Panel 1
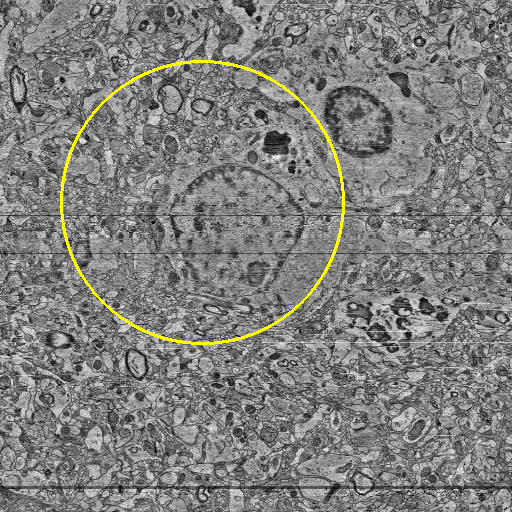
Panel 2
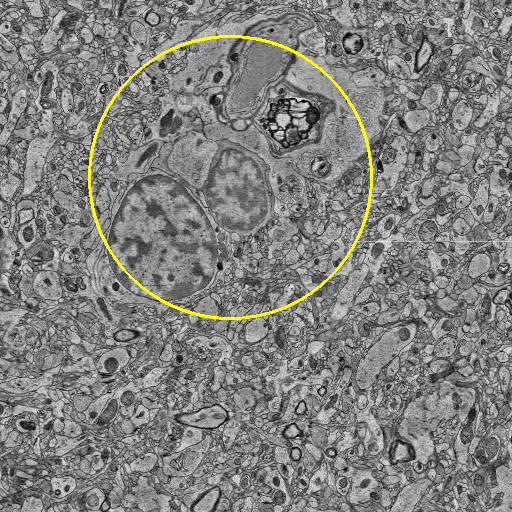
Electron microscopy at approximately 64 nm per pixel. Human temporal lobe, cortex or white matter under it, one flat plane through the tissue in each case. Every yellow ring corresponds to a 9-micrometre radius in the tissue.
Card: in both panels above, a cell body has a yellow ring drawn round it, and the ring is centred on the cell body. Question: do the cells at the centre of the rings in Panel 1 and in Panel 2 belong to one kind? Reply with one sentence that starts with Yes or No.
No, the cells centred in the rings of Panel 1 and Panel 2 are two kinds of cell.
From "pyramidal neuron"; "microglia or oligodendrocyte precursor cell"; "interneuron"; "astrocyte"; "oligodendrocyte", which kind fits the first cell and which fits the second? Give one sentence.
The cell marked in the first picture is an astrocyte, and the one marked in the second is an oligodendrocyte.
